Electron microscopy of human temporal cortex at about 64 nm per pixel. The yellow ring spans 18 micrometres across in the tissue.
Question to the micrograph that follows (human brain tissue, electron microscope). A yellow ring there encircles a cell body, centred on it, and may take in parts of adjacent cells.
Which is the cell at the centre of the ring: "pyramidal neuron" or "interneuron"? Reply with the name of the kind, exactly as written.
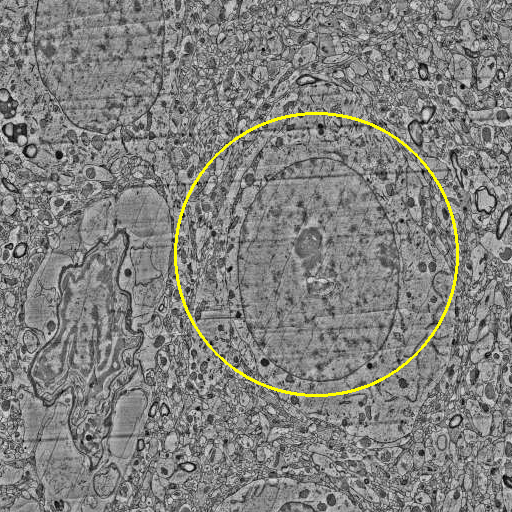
pyramidal neuron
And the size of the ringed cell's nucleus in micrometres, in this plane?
In this plane, approximately 14 by 10 micrometers.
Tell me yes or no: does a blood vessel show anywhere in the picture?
Yes, a blood vessel shows in the picture.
